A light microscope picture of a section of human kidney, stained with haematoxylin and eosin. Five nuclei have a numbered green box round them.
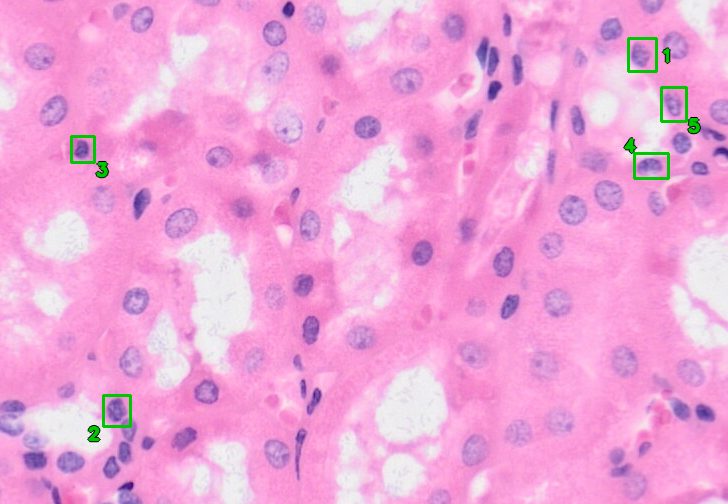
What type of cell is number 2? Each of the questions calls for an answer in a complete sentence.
Cell 2 in the field of view is a collecting duct cell.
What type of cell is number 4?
The marked cell with the number 4 is recognised as a loop of Henle or distal tubule cell.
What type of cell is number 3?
The cell pointed out by number 3 is an endothelial cell.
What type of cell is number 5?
Cell 5 of the marked set is a loop of Henle or distal tubule cell.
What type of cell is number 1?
Cell number 1 in this section is a loop of Henle or distal tubule cell.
